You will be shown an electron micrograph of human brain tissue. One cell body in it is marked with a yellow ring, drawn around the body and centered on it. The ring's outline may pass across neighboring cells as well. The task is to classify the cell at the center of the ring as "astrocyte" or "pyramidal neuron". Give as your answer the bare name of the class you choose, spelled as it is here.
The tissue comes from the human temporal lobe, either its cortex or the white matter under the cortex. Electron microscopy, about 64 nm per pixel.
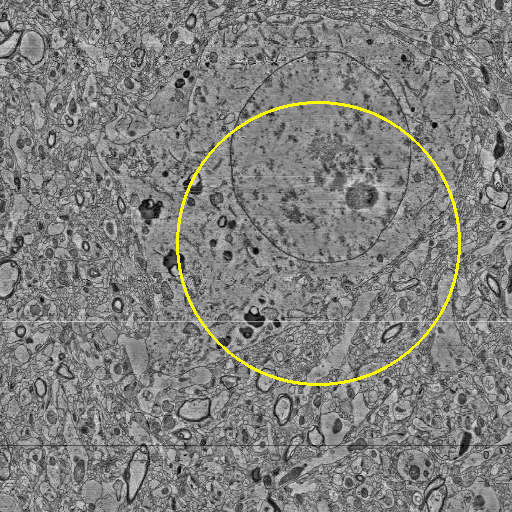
pyramidal neuron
